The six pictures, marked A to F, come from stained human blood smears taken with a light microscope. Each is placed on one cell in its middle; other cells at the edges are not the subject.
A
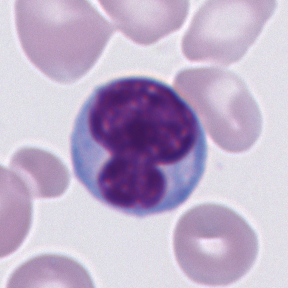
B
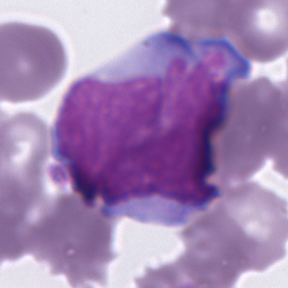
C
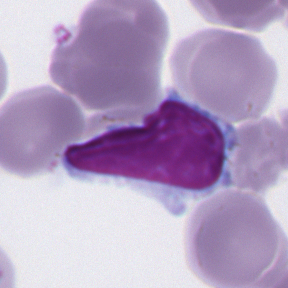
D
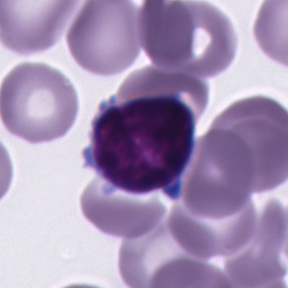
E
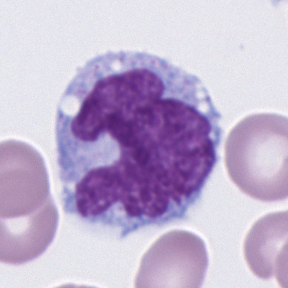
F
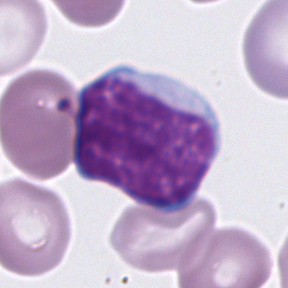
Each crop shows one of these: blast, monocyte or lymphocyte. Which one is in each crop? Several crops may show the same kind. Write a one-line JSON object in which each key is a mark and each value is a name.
{"A": "lymphocyte", "B": "blast", "C": "lymphocyte", "D": "lymphocyte", "E": "monocyte", "F": "blast"}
